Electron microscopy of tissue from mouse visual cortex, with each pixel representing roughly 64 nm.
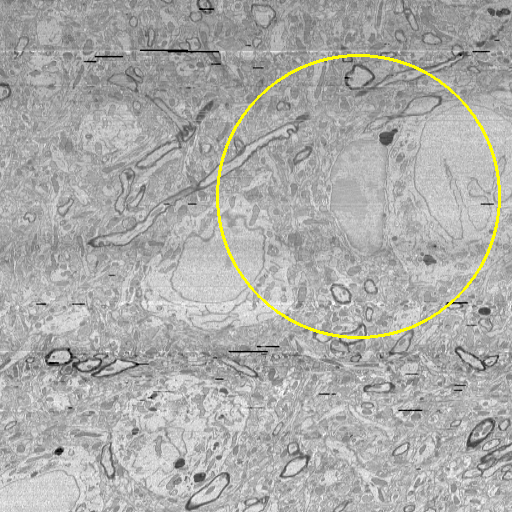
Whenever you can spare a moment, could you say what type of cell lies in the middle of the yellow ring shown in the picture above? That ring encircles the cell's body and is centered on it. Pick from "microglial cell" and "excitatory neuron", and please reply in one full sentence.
The cell whose body sits at the middle of the yellow ring is a microglial cell.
